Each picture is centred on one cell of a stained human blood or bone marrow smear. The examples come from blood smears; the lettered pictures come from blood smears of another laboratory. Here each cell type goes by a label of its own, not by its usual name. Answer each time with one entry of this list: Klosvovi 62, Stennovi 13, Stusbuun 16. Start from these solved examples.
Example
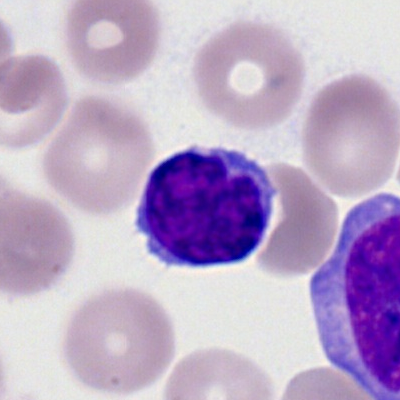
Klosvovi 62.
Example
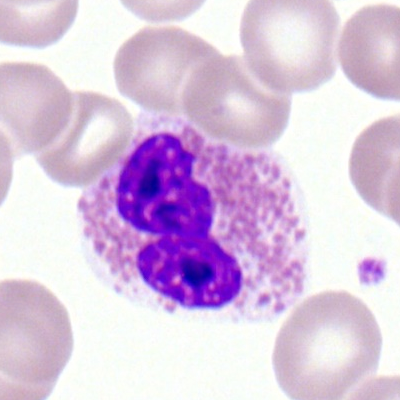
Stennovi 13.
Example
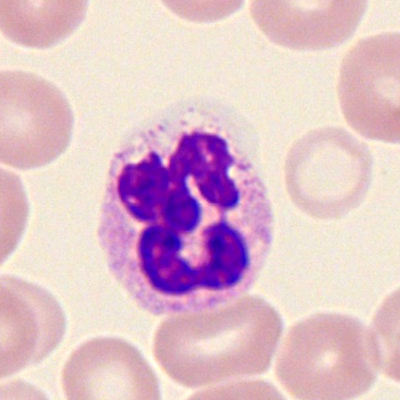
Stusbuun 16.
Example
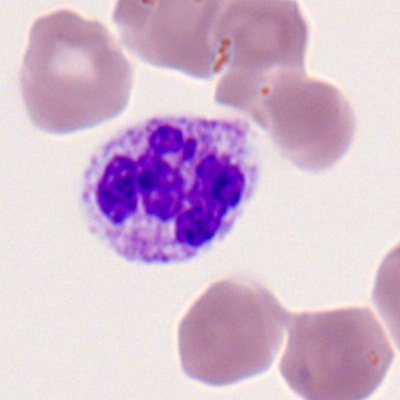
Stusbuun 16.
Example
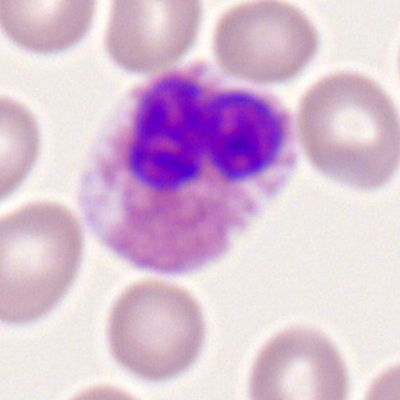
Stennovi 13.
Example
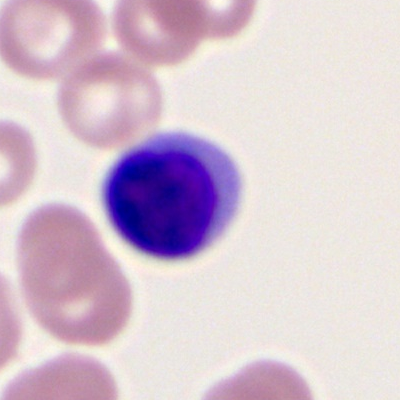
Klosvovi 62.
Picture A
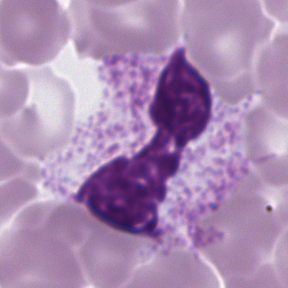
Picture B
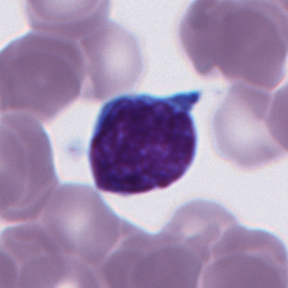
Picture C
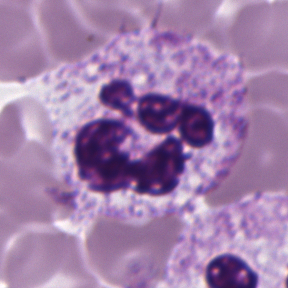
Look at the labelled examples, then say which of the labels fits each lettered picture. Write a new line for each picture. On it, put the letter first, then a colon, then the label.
A: Stusbuun 16.
B: Klosvovi 62.
C: Stusbuun 16.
